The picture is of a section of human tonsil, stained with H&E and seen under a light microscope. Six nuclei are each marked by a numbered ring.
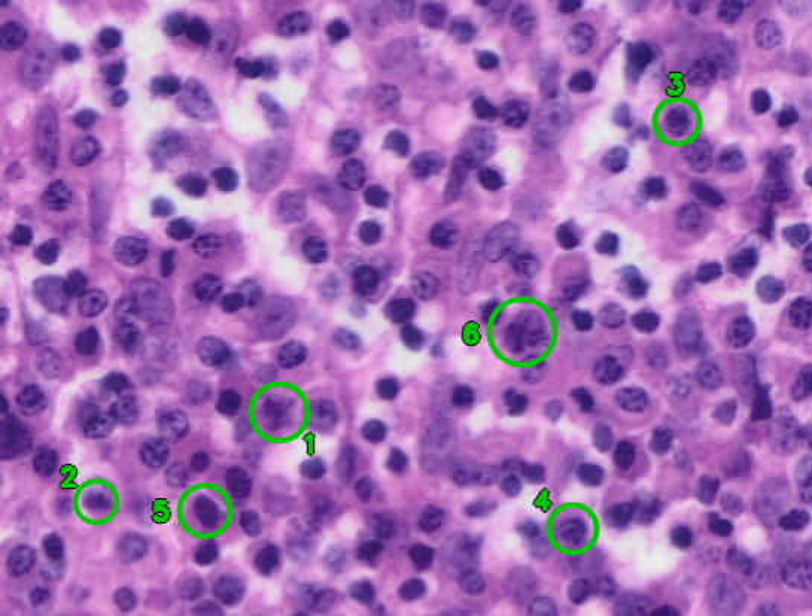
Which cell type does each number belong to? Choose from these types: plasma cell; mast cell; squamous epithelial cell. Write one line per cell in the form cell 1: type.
cell 1: squamous epithelial cell
cell 2: plasma cell
cell 3: plasma cell
cell 4: plasma cell
cell 5: plasma cell
cell 6: squamous epithelial cell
